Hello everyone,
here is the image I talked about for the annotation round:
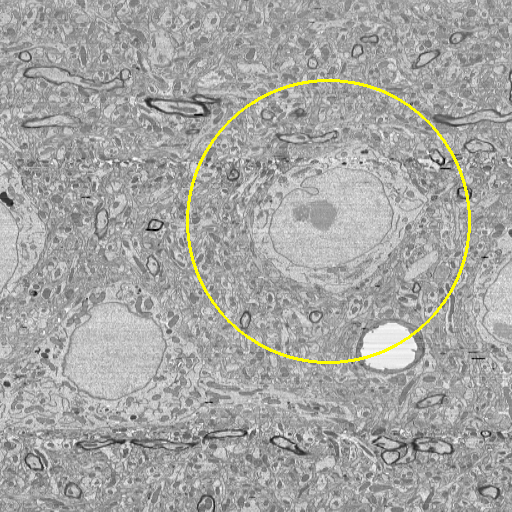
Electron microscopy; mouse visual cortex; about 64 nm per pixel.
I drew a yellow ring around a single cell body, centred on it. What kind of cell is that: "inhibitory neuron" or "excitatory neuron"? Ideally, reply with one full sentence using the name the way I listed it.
The cell your yellow ring is centred on is an excitatory neuron, going by your list.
